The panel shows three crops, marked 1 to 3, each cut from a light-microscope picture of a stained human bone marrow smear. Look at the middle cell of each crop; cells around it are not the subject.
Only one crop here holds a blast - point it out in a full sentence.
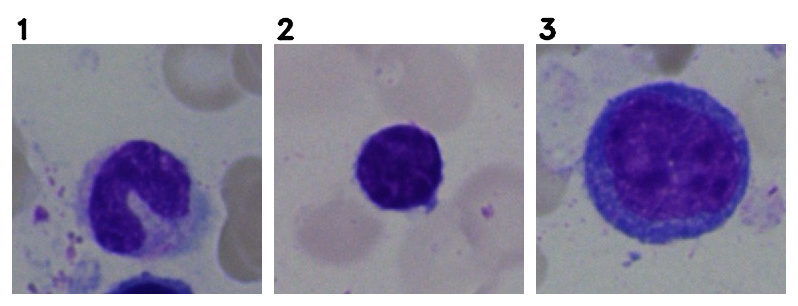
It is crop 3, not any other, that shows a blast.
